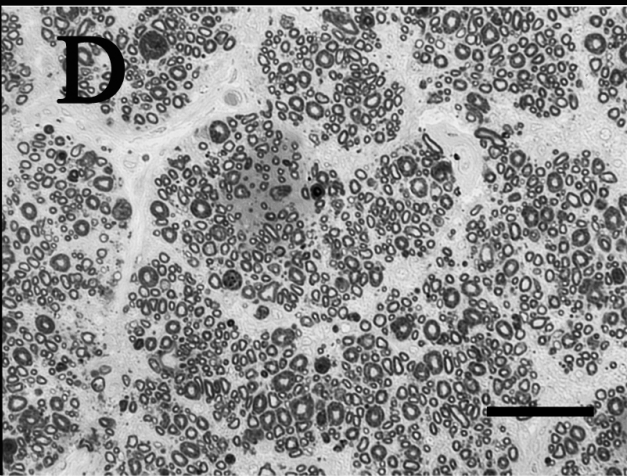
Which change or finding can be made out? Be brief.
extensive axon loss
